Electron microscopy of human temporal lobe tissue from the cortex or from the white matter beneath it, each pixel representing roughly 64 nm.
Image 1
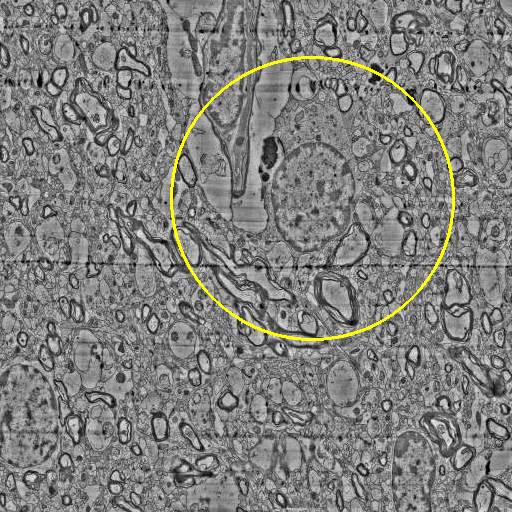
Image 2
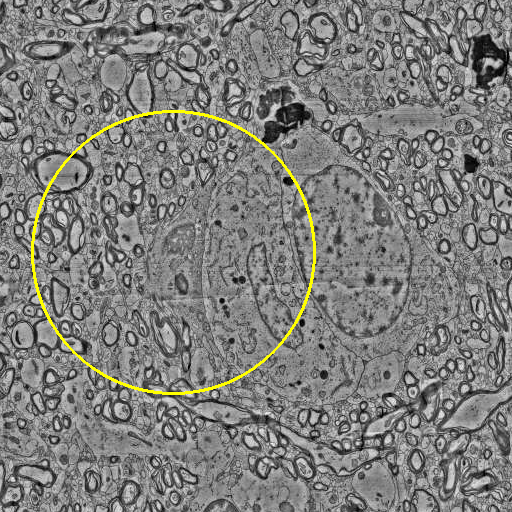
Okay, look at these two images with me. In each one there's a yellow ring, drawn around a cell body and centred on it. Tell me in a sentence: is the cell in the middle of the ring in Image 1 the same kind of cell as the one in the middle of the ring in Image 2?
Yes, they're the same kind of cell.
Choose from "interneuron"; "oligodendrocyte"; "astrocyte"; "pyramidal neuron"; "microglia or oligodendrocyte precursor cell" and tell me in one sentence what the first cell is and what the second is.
The ring centre holds an oligodendrocyte in each of the two pictures.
